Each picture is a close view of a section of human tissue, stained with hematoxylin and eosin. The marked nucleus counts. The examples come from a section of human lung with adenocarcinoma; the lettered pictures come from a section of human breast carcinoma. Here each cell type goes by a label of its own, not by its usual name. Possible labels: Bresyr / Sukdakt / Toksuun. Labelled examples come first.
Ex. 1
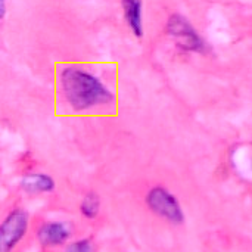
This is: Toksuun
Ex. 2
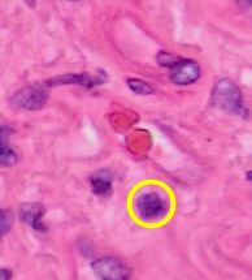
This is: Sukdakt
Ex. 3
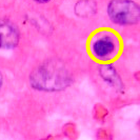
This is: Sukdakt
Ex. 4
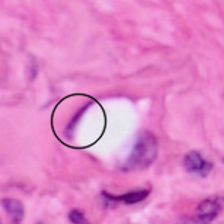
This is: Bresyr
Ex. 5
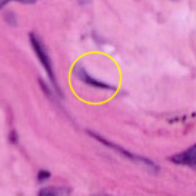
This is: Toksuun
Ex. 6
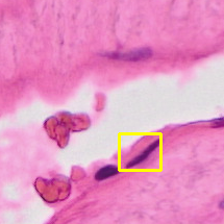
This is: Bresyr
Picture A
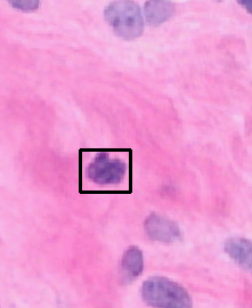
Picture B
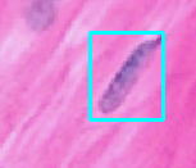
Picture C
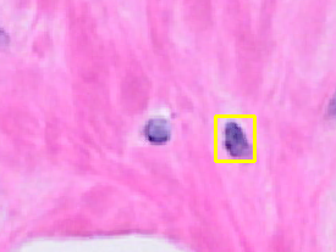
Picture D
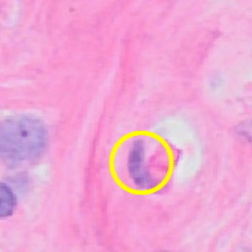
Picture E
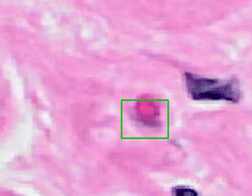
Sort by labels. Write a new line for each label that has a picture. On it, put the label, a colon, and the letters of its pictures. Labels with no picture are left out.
Bresyr: D, E
Sukdakt: A, C
Toksuun: B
